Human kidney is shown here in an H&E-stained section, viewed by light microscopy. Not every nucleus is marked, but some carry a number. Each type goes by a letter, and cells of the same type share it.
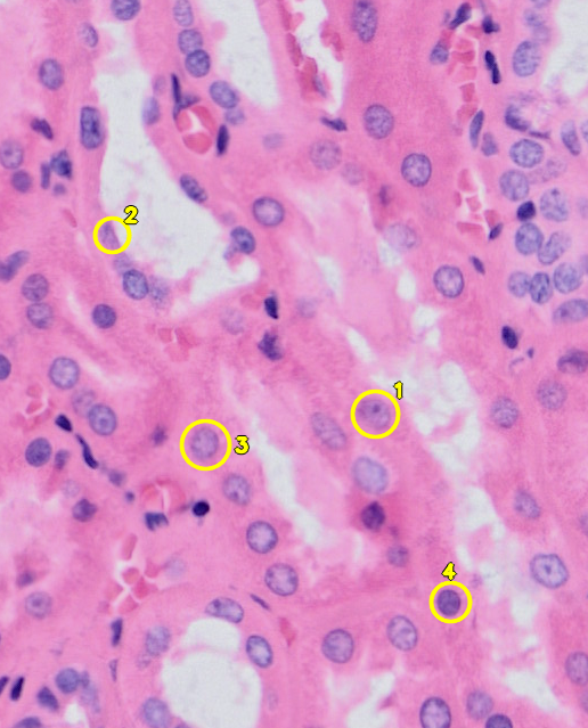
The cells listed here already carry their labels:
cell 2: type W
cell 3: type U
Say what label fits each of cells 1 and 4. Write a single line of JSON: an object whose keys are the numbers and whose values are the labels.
{"1": "type U", "4": "type U"}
